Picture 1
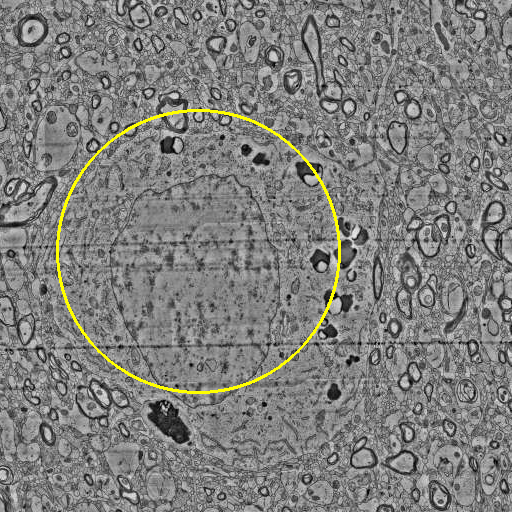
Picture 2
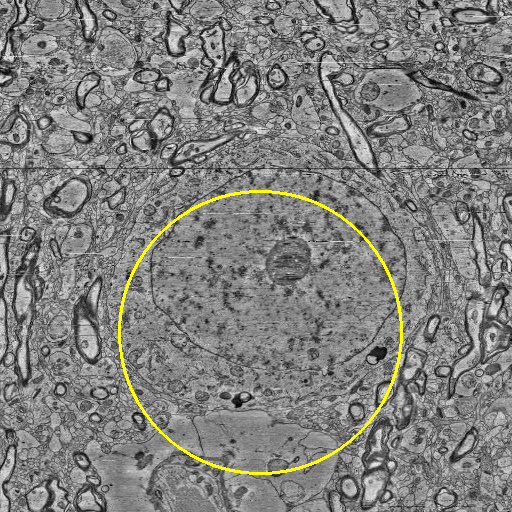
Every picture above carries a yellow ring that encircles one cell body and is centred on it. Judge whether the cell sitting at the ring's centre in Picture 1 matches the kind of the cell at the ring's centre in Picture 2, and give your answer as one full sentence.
Yes, the cells centred in the rings of Pictures 1 and 2 belong to one kind.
